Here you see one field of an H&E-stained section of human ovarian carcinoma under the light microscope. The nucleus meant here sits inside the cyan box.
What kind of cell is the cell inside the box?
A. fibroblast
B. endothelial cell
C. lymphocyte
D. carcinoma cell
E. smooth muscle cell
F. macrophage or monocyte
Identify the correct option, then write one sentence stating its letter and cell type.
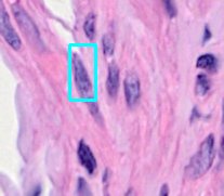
Among the choices, option E is correct, the cell inside the box being a smooth muscle cell.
